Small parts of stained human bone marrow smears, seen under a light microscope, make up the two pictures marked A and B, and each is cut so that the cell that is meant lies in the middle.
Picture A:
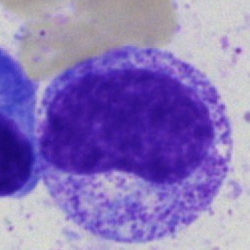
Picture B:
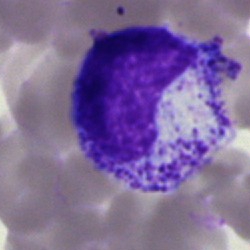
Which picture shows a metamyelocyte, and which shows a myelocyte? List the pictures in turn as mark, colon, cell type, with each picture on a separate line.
A: myelocyte
B: metamyelocyte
